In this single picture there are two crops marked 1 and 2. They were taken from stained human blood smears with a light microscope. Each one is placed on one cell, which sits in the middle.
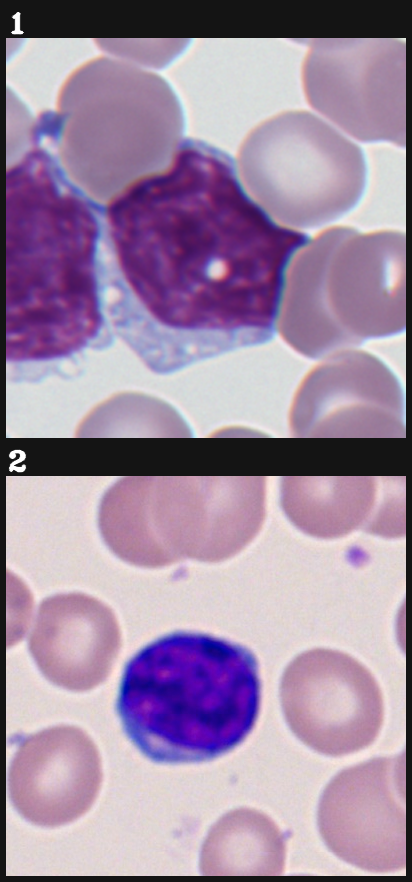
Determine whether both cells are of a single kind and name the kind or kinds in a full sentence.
Yes, lymphocytes are shown in both crops.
